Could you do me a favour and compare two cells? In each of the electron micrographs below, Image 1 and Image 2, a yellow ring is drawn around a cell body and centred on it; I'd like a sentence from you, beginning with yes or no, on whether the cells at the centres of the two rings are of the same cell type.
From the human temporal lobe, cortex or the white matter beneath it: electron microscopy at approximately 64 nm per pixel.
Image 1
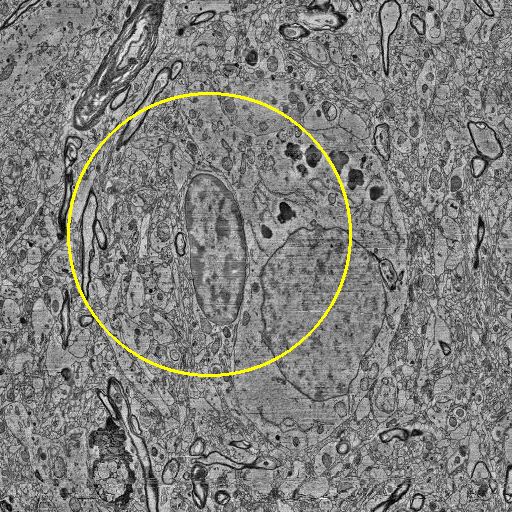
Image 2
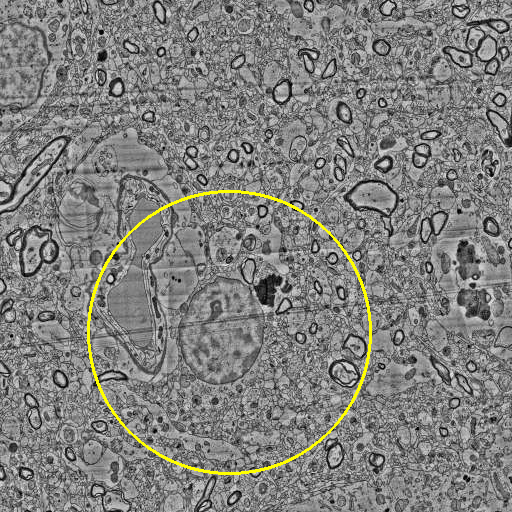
No, the two cells are of two cell types.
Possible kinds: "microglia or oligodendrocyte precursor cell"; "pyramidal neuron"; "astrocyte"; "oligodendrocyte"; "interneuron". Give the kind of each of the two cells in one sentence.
The cell in the second picture is an oligodendrocyte, and that in the first is a microglial cell or oligodendrocyte precursor cell.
